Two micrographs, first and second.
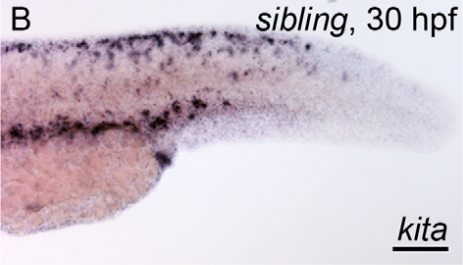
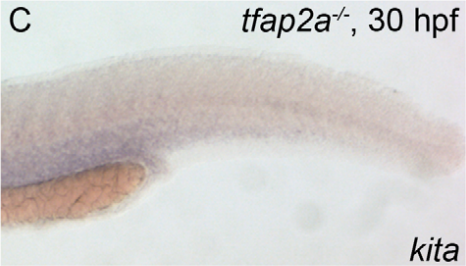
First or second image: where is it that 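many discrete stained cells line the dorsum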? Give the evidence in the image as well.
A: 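Second image: the dorsal trunk is uniformly pale with no distinct stained cells. First image: numerous dark purple dots crowd the dorsal edge and a lateral row of the trunk. On this evidence: the first image.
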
